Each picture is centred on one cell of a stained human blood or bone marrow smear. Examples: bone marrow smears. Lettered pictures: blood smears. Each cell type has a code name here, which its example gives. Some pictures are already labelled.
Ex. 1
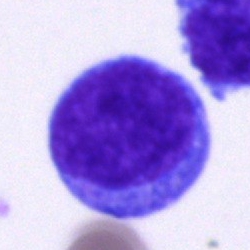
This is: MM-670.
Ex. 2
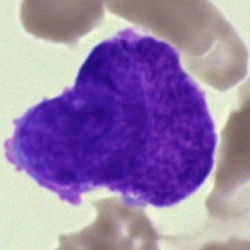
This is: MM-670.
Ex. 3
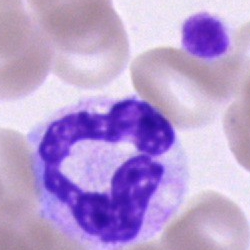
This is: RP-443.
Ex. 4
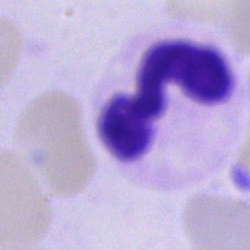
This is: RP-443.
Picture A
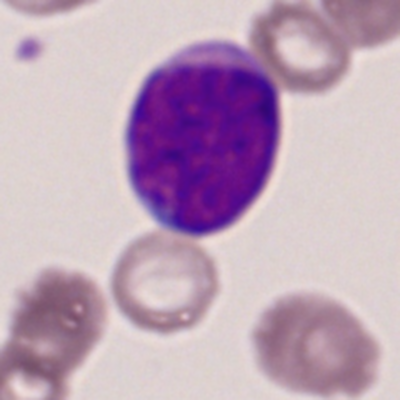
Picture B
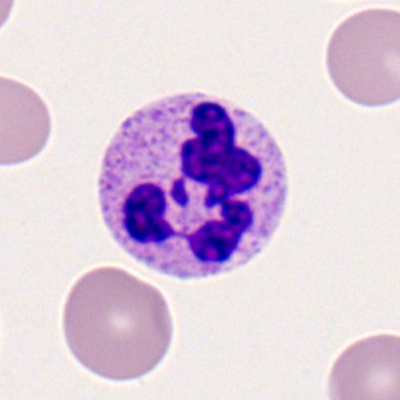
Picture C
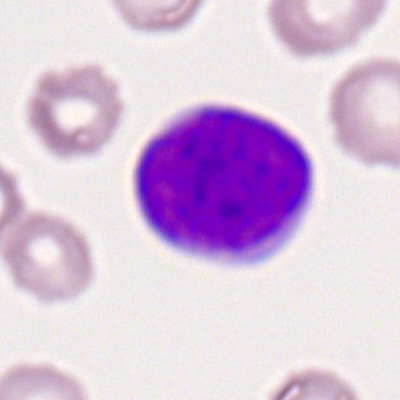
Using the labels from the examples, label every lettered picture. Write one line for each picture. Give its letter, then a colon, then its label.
A: MM-670.
B: RP-443.
C: MM-670.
